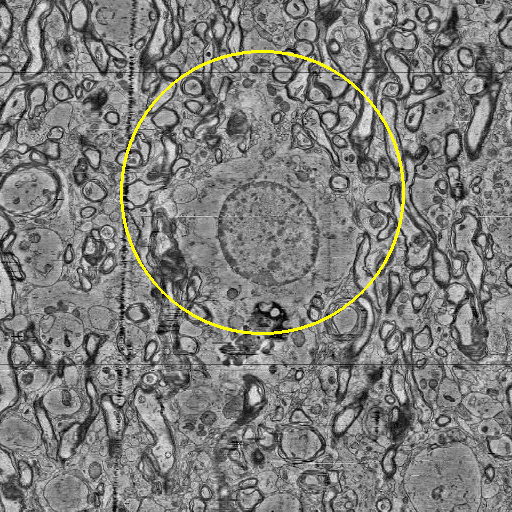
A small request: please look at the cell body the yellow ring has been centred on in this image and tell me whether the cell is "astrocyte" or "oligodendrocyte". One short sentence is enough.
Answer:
The cell marked by the ring is an astrocyte.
